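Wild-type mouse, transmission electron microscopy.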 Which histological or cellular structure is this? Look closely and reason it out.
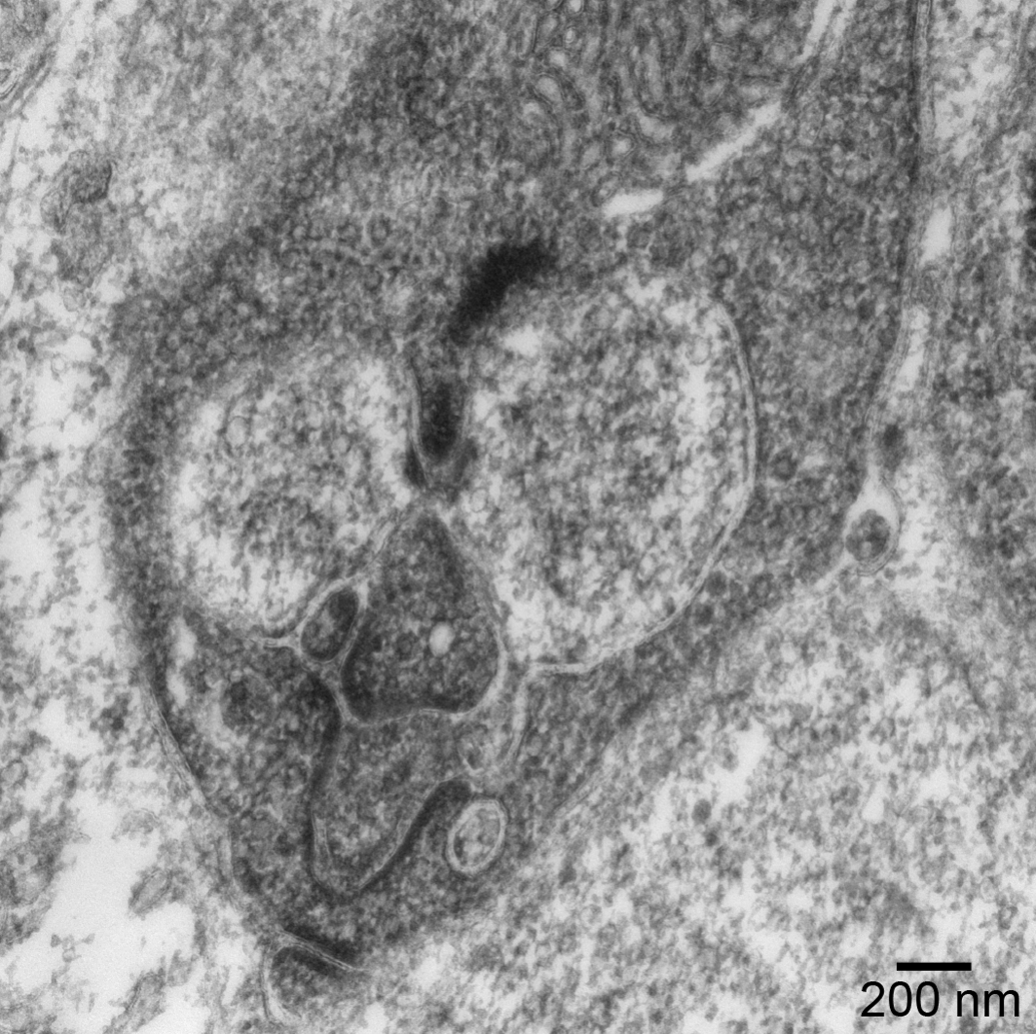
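A rounded presynaptic terminal packed with many small round vesicles. A single dark elongated bar runs from the top of the terminal down toward a central point of the membrane. Several pale and darker postsynaptic profiles invaginate deeply into the terminal beneath the dark bar.
Conclusion: rod spherule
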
